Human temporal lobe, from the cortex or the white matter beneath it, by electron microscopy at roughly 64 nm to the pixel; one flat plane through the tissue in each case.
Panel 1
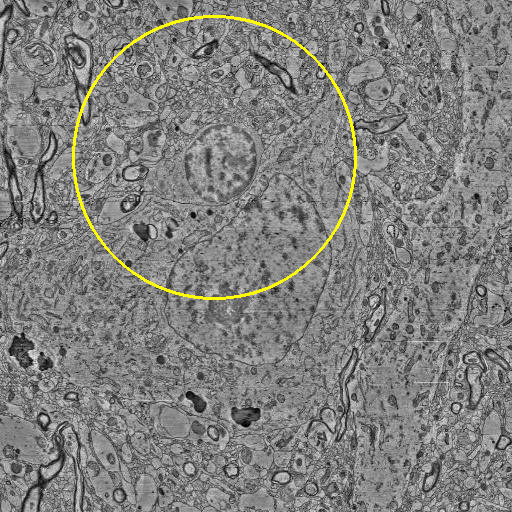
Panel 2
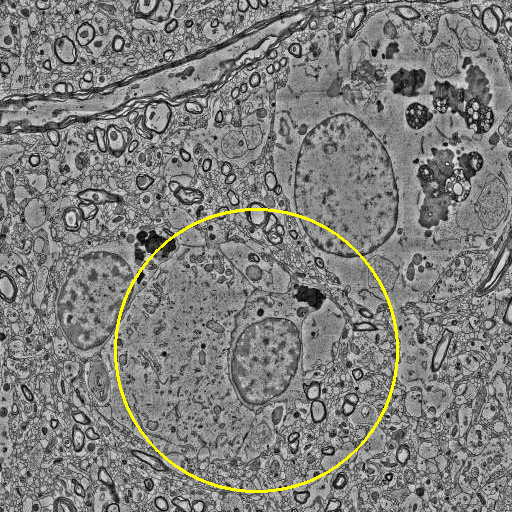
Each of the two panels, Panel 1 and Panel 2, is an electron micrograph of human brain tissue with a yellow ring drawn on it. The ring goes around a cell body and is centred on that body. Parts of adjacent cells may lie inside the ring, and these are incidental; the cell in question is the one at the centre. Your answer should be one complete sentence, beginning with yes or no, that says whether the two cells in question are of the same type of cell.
Yes, the two cells are of the same type.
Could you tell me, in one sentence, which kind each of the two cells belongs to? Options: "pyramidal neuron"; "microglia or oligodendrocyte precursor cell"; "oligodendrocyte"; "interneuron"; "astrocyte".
In each picture the ringed cell is an oligodendrocyte.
